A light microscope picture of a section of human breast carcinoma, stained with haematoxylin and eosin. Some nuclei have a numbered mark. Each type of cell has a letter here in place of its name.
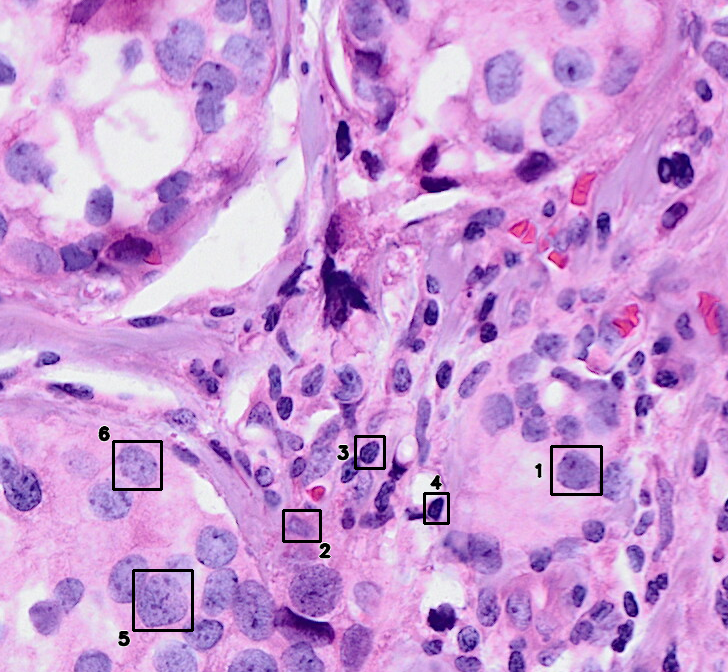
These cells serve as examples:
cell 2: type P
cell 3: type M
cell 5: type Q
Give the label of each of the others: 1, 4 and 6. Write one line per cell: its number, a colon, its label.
1: type Q
4: type M
6: type Q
